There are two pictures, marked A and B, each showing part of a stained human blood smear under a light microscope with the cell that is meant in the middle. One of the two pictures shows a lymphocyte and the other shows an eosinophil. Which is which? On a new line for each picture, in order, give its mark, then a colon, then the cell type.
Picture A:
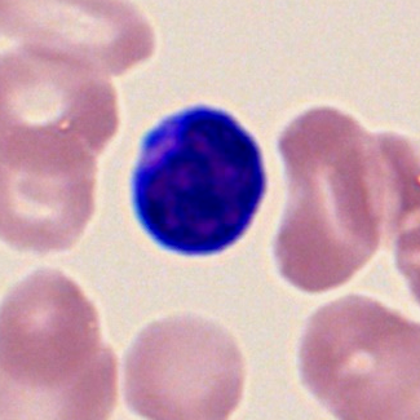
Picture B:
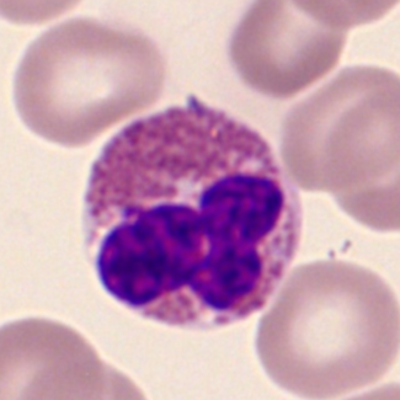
A: lymphocyte
B: eosinophil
